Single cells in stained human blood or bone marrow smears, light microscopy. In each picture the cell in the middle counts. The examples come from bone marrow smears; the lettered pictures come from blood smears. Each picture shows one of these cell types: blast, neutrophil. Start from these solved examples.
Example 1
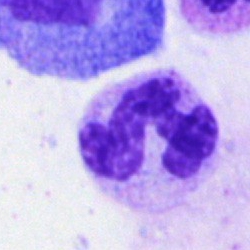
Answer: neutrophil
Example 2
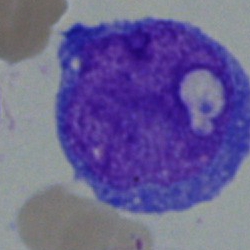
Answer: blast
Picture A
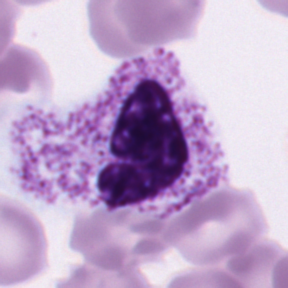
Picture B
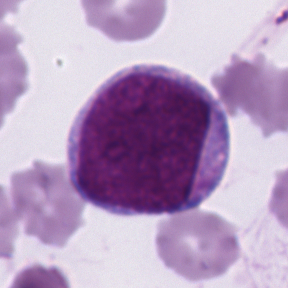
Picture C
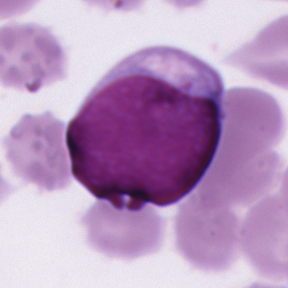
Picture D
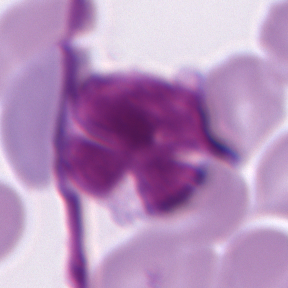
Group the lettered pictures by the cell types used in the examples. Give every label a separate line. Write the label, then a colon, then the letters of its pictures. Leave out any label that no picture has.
blast: B, C, D
neutrophil: A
